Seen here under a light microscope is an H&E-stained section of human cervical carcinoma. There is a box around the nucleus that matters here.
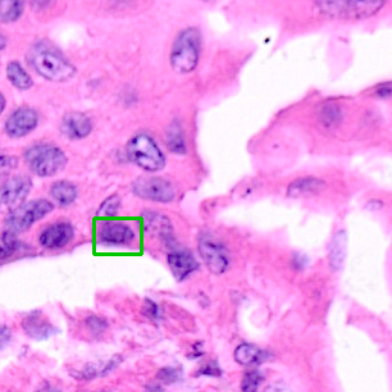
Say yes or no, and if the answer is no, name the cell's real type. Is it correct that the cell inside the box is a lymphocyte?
No, it is a squamous carcinoma cell.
